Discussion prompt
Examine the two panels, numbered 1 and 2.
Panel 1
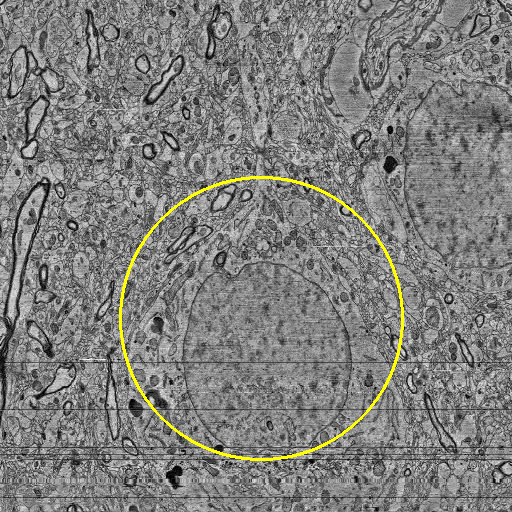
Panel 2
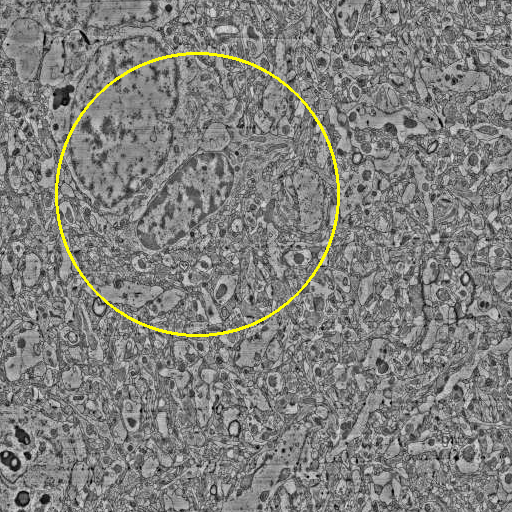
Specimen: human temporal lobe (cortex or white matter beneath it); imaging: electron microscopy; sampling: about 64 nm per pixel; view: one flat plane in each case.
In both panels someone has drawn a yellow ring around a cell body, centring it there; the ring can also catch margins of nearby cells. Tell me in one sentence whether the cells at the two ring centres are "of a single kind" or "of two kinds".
Taken together, the two cells centred in the rings of Panels 1 and 2 are of two kinds.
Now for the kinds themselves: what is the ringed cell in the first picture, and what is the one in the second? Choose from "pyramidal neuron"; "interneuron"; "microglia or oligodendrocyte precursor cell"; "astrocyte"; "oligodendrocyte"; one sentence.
Here the first cell is an interneuron and the second cell is a microglial cell or oligodendrocyte precursor cell.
